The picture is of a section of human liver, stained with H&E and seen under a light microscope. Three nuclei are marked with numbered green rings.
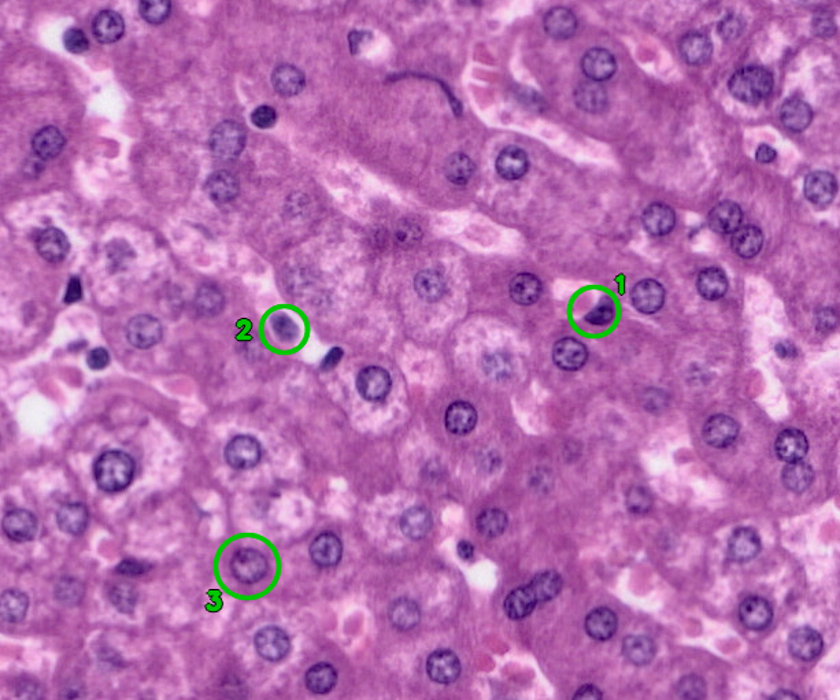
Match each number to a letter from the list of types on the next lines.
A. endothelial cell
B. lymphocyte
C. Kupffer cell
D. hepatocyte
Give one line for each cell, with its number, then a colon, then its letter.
1: A
2: B
3: D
